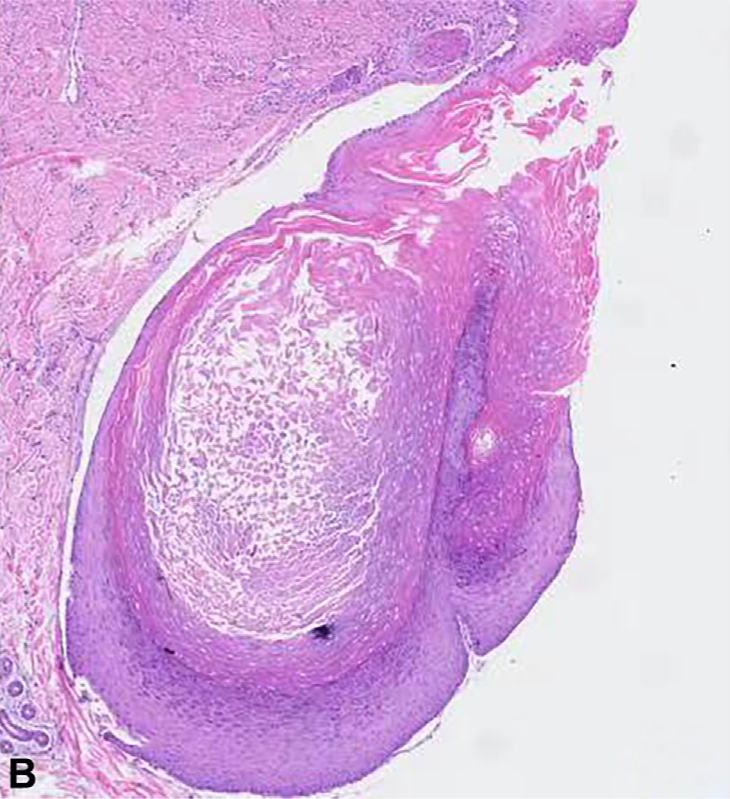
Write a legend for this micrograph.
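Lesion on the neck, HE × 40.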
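Skin at low magnification showing a broad cup-shaped invagination of squamous epithelium that extends from the surface into the dermis. Its wall consists of purple-staining keratinocyte layers that mature inward into pink keratin. The channel opens toward the surface at the upper right, where flakes of keratin are seen.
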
